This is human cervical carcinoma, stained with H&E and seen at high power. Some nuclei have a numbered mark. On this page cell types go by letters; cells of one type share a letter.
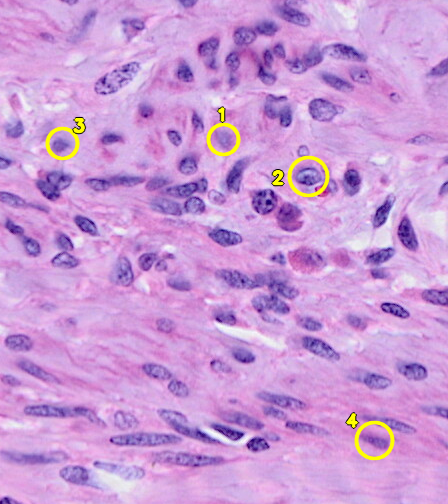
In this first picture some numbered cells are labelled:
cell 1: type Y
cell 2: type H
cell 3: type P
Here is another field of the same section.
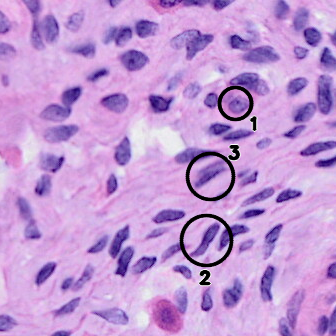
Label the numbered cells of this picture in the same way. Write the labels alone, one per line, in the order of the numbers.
type H
type P
type P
